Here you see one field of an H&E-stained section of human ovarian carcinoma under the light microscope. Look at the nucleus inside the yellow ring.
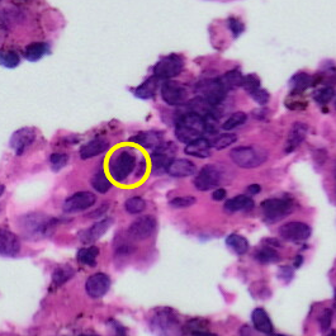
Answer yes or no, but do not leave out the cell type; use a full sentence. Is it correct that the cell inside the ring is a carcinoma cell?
Yes, to name the cell inside the ring a carcinoma cell is correct.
